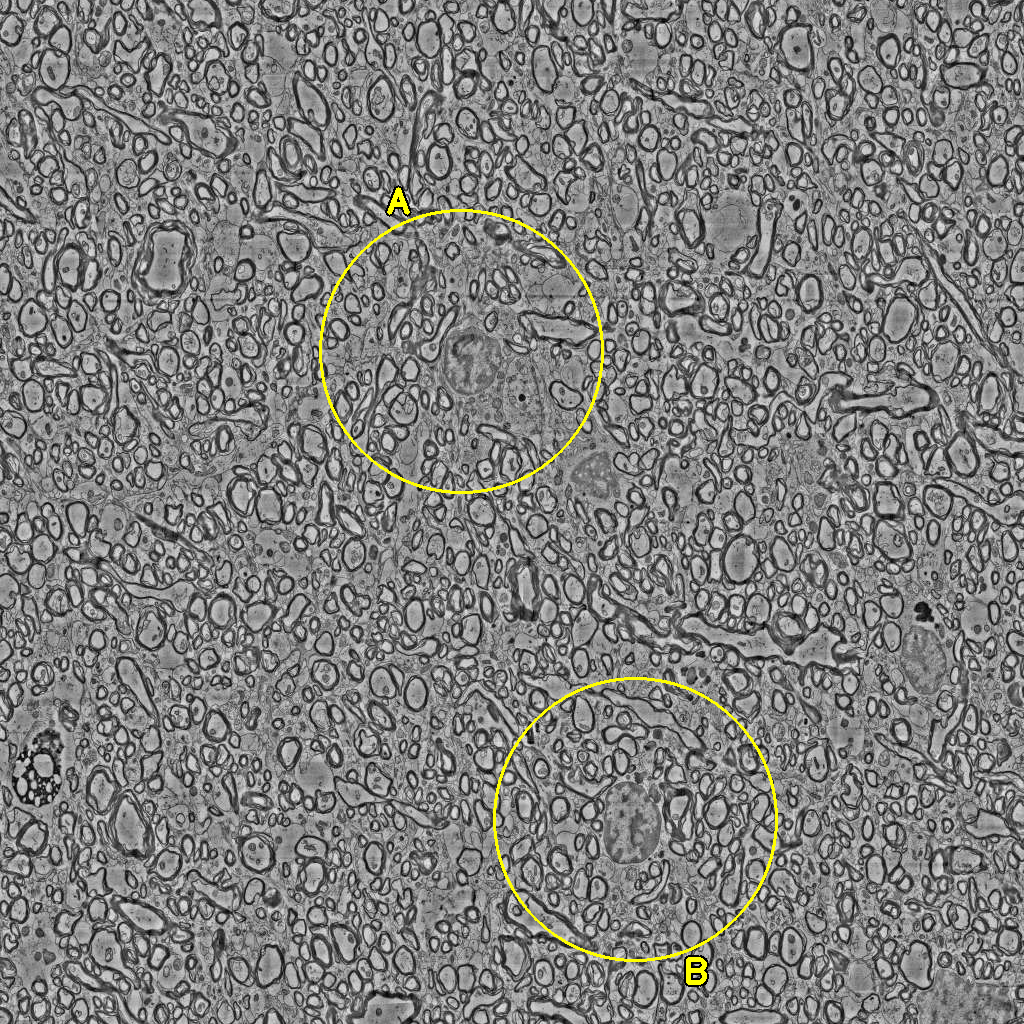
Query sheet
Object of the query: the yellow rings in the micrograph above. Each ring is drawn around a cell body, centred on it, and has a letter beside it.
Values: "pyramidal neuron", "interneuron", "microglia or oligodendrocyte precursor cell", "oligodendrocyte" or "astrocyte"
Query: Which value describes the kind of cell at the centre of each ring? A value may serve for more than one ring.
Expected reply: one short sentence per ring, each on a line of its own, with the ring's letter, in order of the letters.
I assign an oligodendrocyte to ring A.
I assign a microglial cell or oligodendrocyte precursor cell to ring B.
